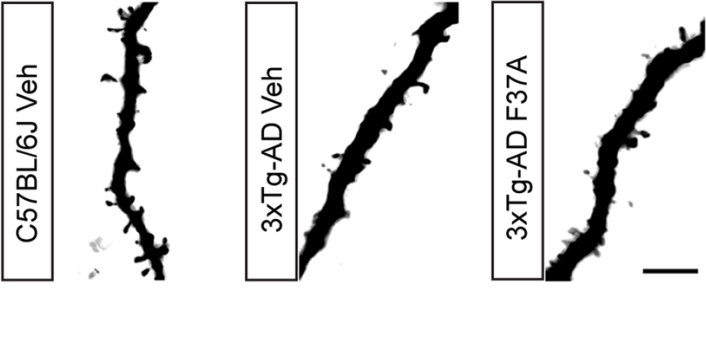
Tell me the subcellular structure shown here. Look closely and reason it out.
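Short protrusions stick out from the sides of each dark branch. Some protrusions end in small rounded heads. The answer: spines.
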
